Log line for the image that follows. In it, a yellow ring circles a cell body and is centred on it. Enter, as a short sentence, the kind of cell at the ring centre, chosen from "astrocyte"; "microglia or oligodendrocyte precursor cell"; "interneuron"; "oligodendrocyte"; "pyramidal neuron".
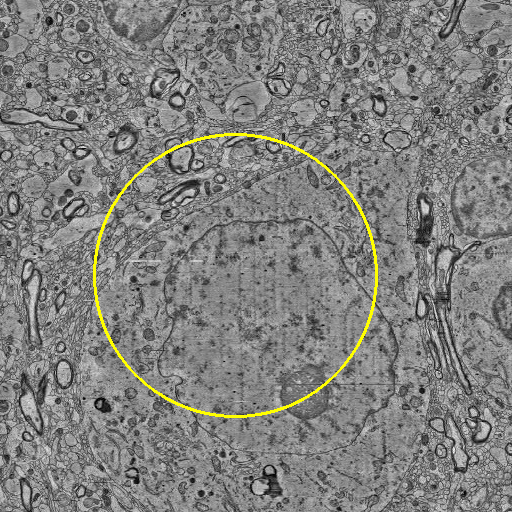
The ring centre is occupied by a pyramidal neuron.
